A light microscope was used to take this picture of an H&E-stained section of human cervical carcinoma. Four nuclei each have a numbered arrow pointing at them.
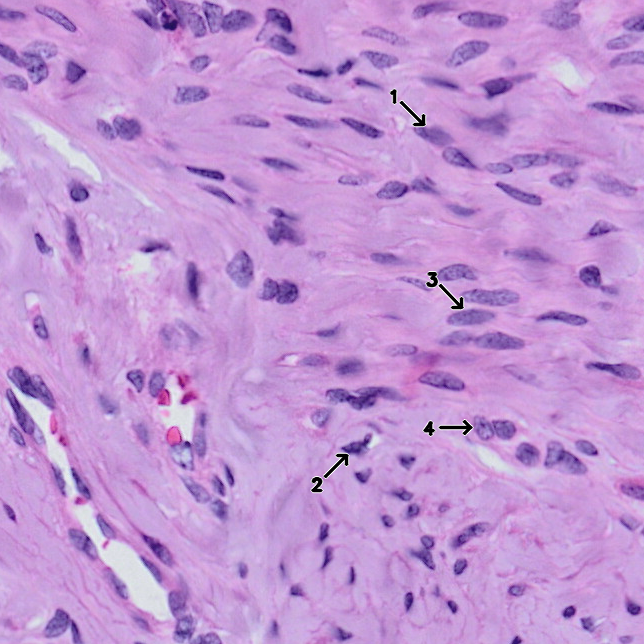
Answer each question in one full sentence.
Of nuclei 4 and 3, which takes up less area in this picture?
The smaller nucleus is 4, and 3 covers roughly 2.5 times its area.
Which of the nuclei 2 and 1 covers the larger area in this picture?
Nucleus 1 covers more area, about 2 times as much as nucleus 2.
